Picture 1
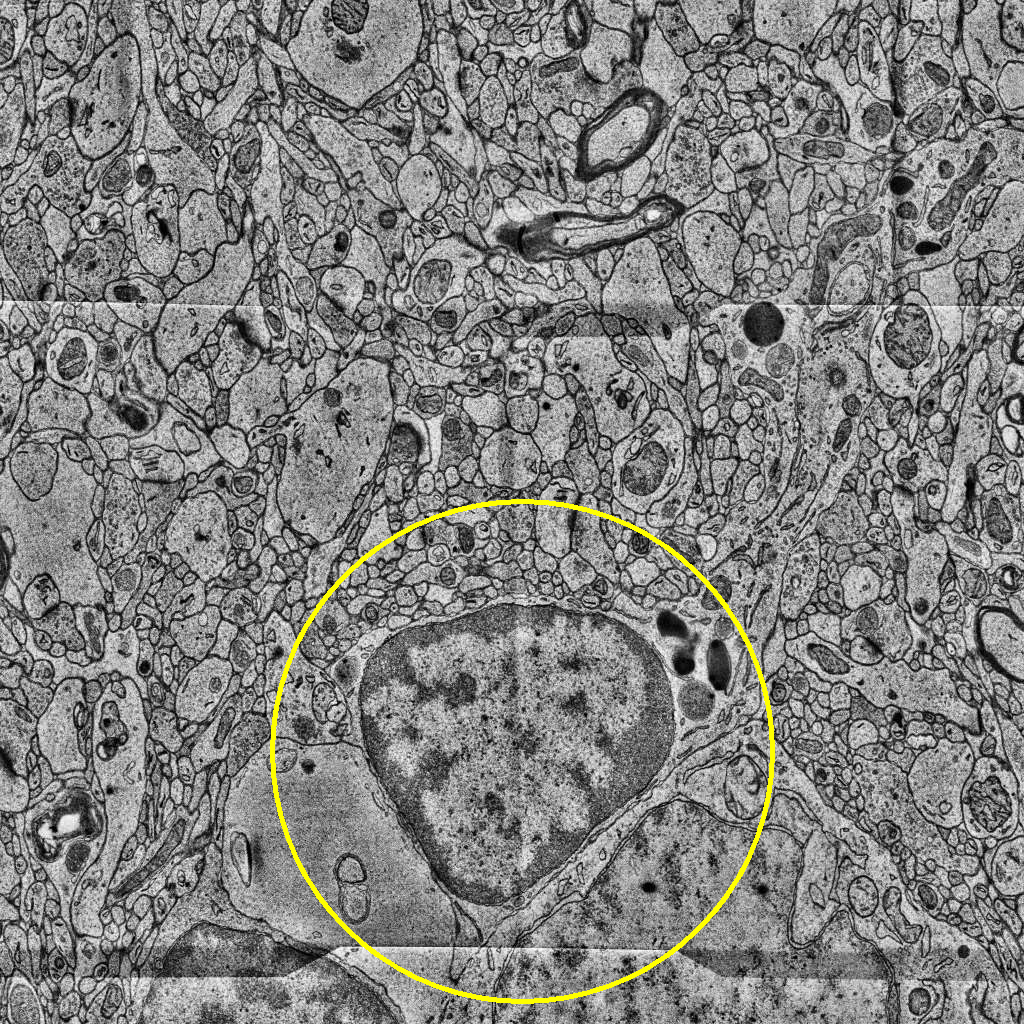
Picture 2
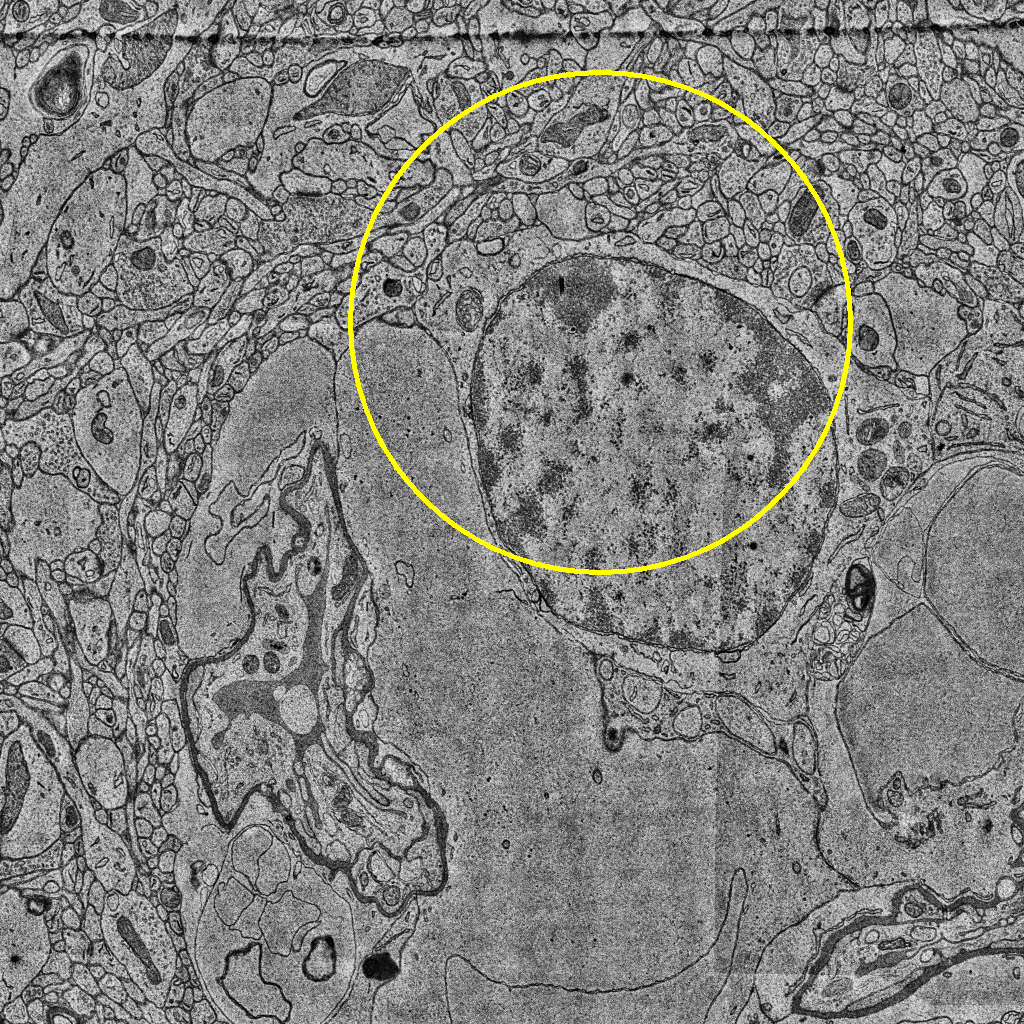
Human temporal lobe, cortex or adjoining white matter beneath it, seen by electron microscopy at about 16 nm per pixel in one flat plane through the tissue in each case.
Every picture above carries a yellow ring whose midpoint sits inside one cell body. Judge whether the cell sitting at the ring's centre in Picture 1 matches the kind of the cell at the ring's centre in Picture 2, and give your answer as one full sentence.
Yes, the cells at the centres of the rings in Pictures 1 and 2 belong to one kind.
